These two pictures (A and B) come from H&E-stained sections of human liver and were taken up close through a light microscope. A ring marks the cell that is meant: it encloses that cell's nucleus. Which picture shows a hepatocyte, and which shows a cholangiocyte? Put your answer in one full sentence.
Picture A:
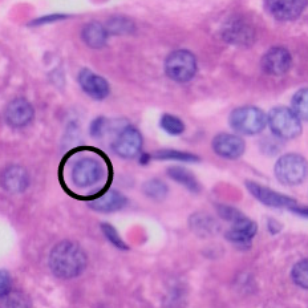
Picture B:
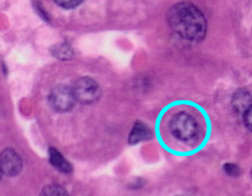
Picture A is of a cholangiocyte, and picture B is of a hepatocyte.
